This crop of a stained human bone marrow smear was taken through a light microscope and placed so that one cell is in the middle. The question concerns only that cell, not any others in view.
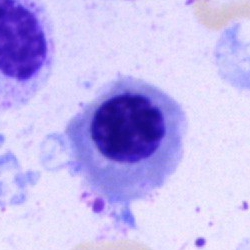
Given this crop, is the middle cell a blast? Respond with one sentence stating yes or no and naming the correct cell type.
No, the central cell does not represent a blast, but an erythroblast.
